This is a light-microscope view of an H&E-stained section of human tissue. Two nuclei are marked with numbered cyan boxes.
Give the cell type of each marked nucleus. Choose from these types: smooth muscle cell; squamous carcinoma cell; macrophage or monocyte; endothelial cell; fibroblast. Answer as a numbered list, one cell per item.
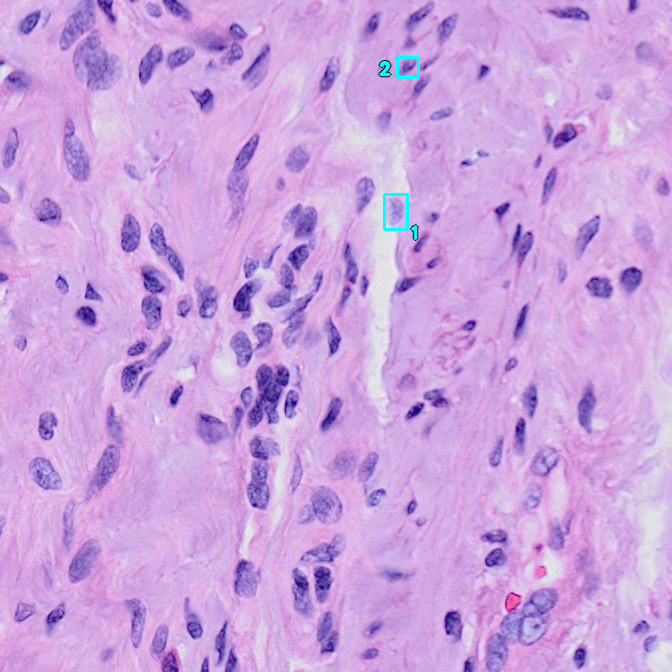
1. fibroblast
2. smooth muscle cell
